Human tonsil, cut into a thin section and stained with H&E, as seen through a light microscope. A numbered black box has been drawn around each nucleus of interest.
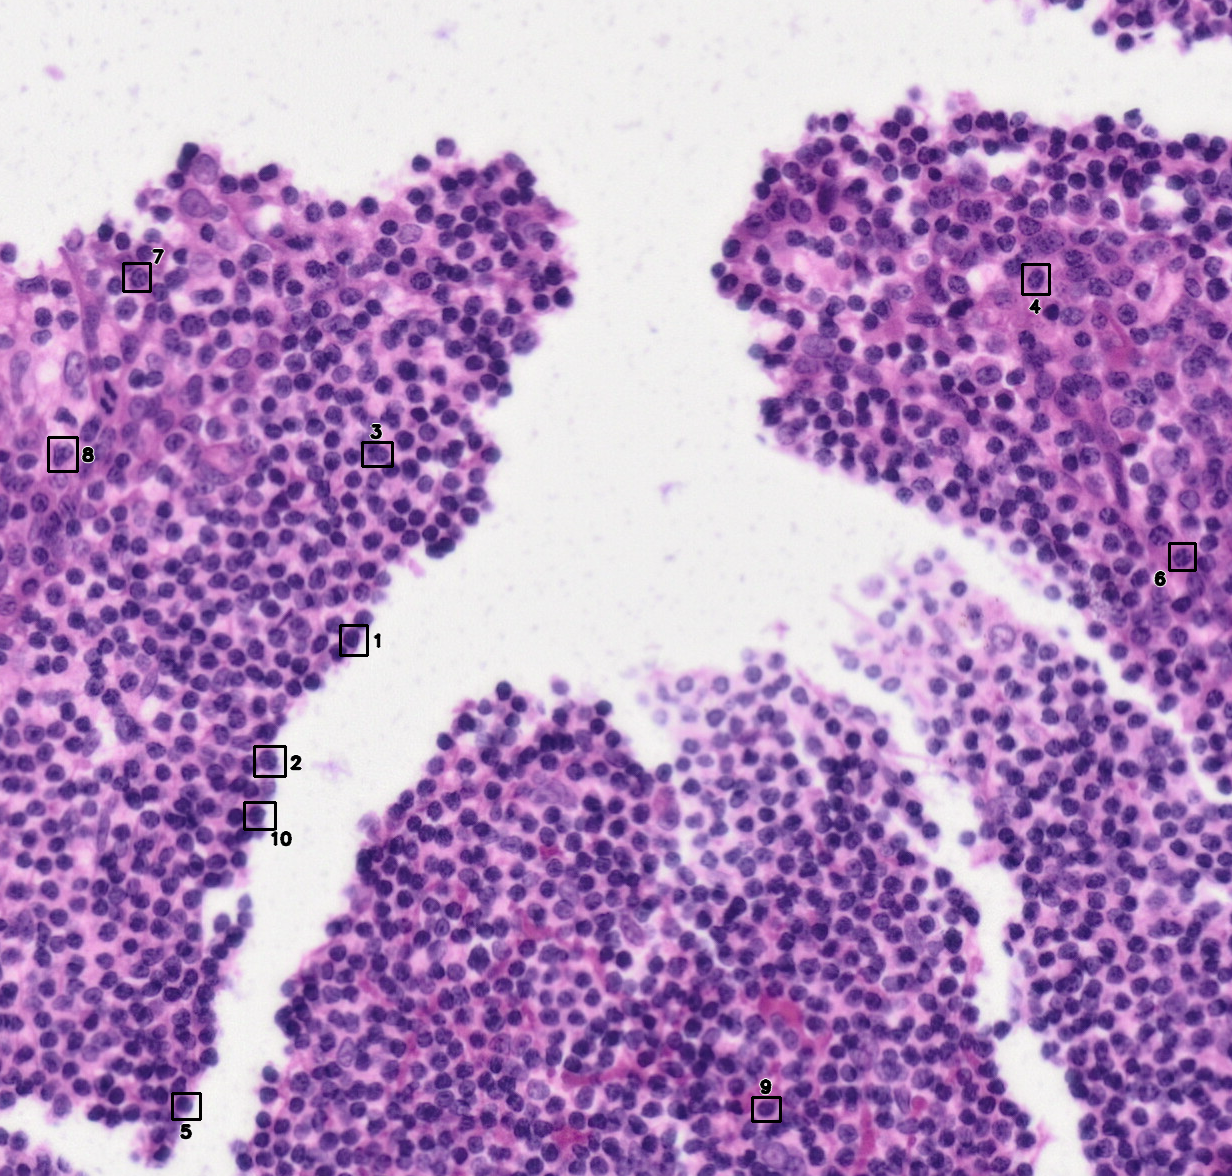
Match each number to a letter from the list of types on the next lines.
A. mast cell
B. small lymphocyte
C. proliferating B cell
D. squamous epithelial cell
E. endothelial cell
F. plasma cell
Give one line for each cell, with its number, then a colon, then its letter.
1: B
2: B
3: B
4: F
5: B
6: F
7: F
8: F
9: B
10: B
